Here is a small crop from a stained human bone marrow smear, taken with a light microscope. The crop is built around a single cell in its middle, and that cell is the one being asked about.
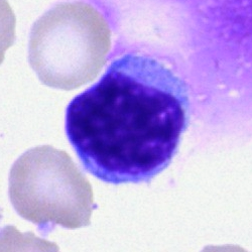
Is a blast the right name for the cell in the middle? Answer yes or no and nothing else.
no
